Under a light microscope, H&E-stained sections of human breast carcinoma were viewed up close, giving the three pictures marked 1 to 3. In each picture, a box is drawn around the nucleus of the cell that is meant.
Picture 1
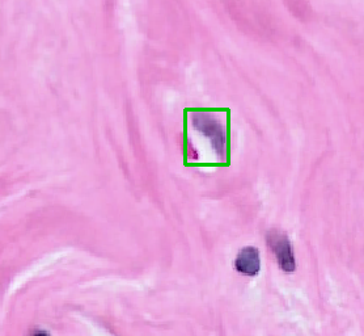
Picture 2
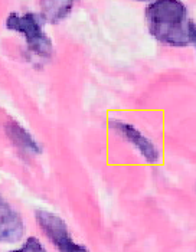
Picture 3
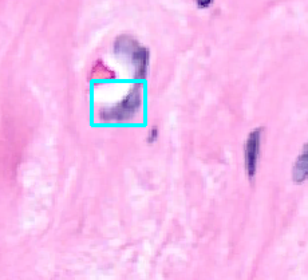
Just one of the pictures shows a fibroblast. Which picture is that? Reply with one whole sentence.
It is picture 2 that shows the fibroblast.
